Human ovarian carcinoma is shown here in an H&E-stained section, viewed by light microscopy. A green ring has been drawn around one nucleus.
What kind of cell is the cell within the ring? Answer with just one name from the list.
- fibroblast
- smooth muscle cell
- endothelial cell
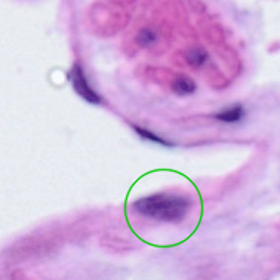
endothelial cell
